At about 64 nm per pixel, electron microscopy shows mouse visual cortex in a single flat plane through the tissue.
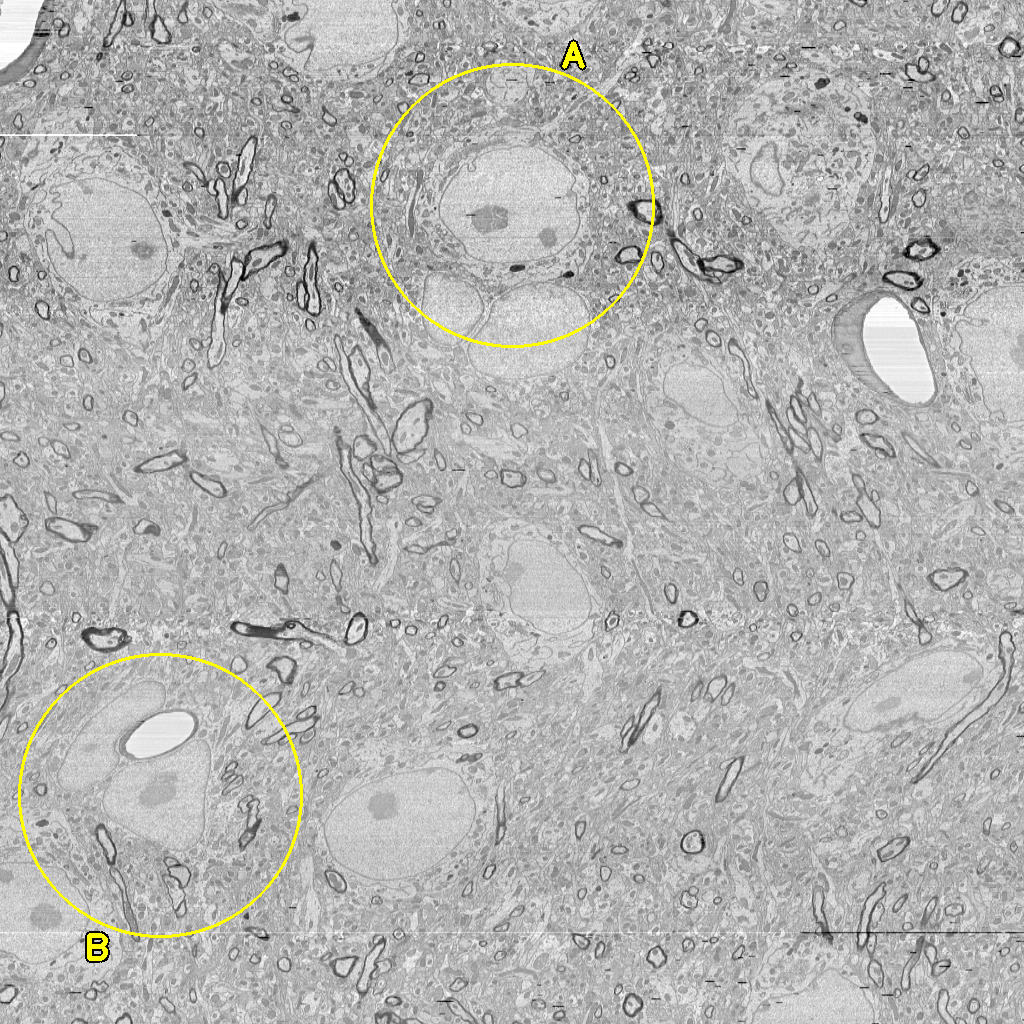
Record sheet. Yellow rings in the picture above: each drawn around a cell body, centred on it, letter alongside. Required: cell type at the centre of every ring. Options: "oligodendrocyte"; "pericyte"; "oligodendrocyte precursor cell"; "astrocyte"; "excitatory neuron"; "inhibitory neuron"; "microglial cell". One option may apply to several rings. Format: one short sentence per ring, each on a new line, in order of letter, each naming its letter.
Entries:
Ring A contains an excitatory neuron at the centre.
Ring B contains an astrocyte at the centre.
